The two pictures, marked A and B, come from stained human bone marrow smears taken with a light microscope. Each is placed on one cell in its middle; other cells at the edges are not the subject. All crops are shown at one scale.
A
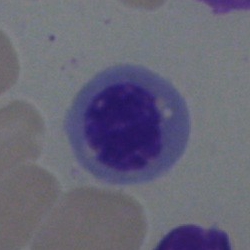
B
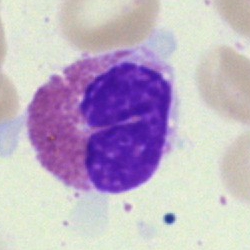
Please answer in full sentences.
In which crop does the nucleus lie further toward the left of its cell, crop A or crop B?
In crop A the nucleus is shifted more toward the left.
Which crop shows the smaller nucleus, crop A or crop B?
The nucleus in crop A is smaller; the one in crop B has about 1.5 times its area.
